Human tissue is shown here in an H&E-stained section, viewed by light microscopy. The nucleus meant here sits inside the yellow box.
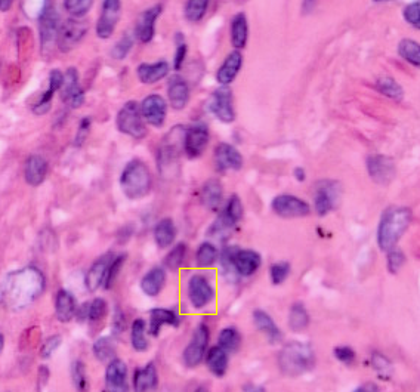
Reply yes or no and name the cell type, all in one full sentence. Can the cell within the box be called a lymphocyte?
Yes, in this field of view, the cell within the box is a lymphocyte.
